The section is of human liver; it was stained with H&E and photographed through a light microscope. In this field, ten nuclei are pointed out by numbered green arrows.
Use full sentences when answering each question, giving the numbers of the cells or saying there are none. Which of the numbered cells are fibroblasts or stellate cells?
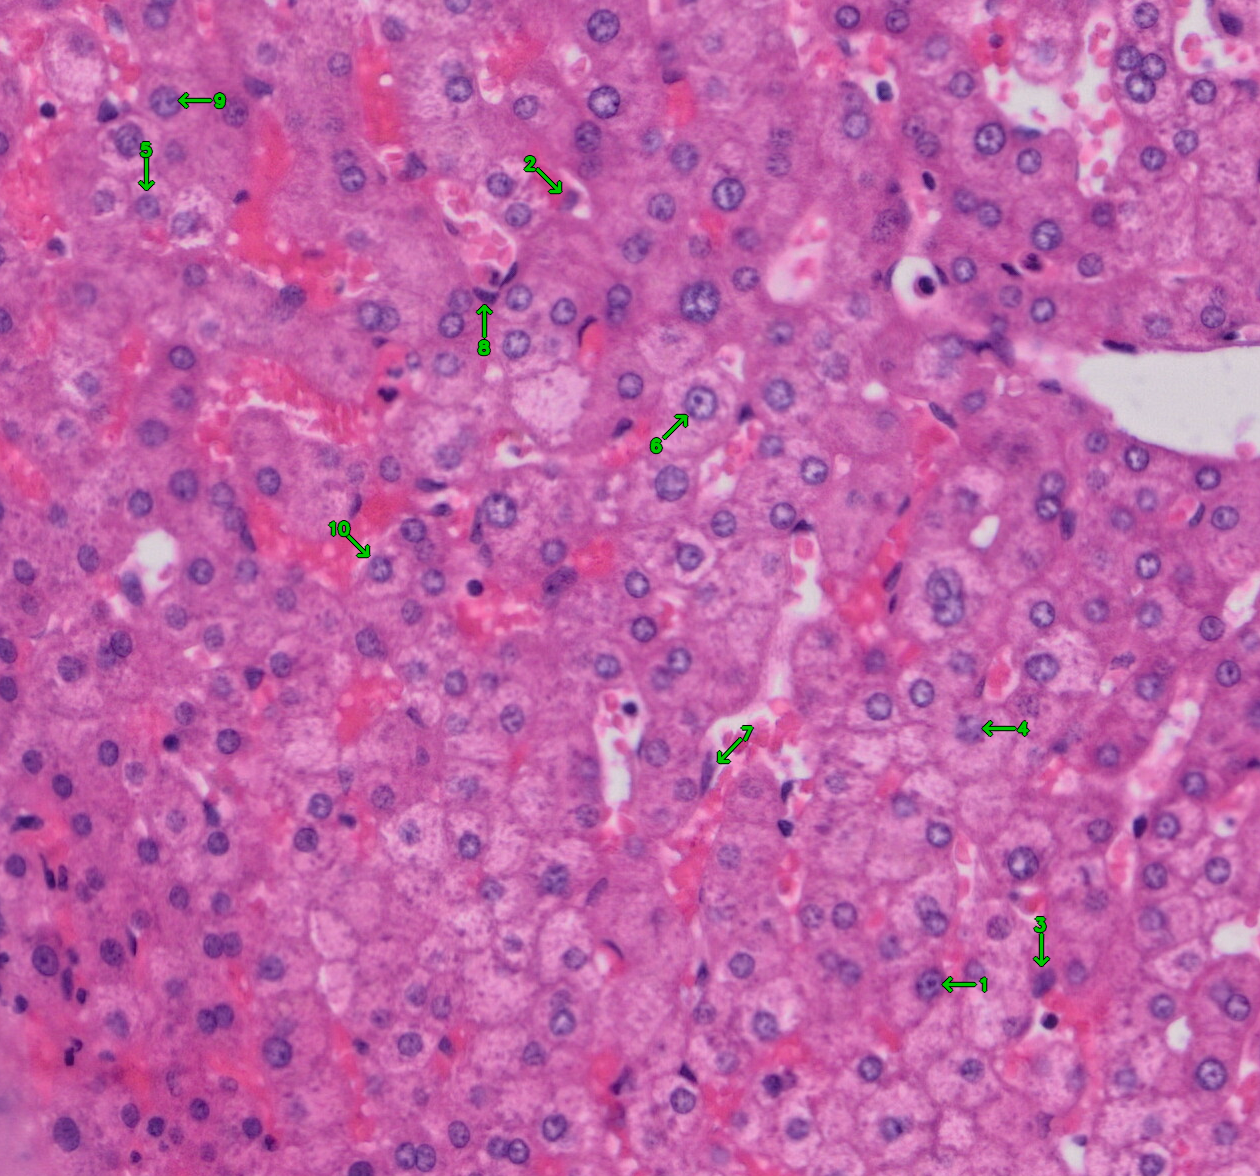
Where the numbered cells are concerned, only number 8 is a fibroblast or stellate cell.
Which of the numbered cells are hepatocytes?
The cells marked with the numbers 1, 4, 5, 6, 9 and 10 are hepatocytes.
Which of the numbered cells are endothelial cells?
Only one marked cell, number 3, is an endothelial cell.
